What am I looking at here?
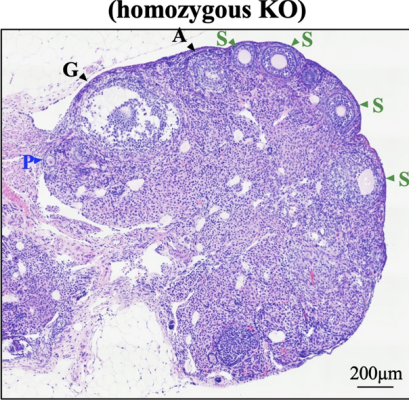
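This section through an ovary shows follicles of different stages embedded in a dense purple stroma. Several multilayered follicles line the surface, each with a round oocyte surrounded by concentric layers of small cells with dark nuclei. No large pale pink solid bodies are seen in the interior, which is filled by cellular stroma.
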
